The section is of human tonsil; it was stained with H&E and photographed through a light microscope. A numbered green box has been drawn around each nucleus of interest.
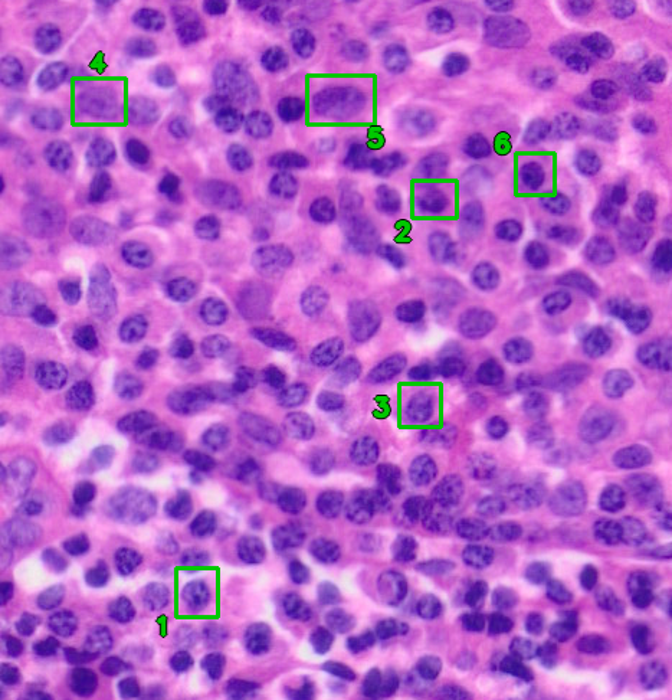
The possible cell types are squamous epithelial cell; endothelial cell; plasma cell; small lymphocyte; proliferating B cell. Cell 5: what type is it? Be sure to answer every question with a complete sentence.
The nucleus marked 5 is the nucleus of a squamous epithelial cell.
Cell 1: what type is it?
The identity of cell 1 is that of a plasma cell.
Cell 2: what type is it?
The cell with the number 2 is a plasma cell.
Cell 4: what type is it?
The nucleus marked 4 is the nucleus of a squamous epithelial cell.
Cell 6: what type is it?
The cell tagged with 6 in this tissue section is a plasma cell.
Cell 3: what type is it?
The cell pointed out as number 3 is a plasma cell.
